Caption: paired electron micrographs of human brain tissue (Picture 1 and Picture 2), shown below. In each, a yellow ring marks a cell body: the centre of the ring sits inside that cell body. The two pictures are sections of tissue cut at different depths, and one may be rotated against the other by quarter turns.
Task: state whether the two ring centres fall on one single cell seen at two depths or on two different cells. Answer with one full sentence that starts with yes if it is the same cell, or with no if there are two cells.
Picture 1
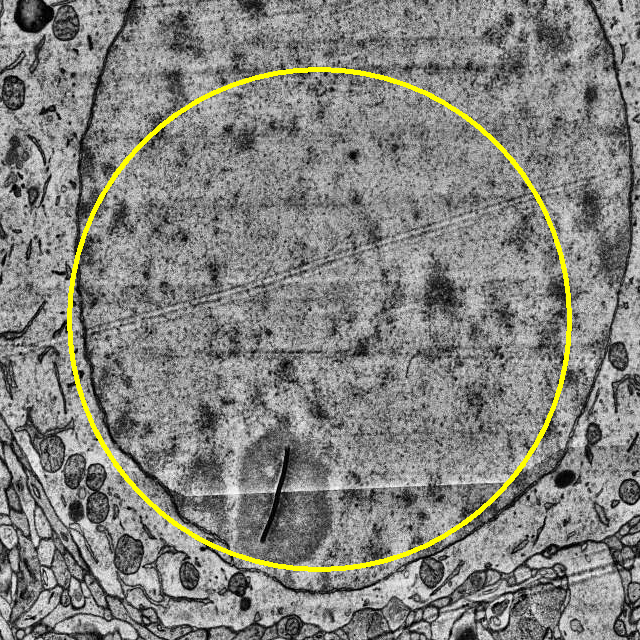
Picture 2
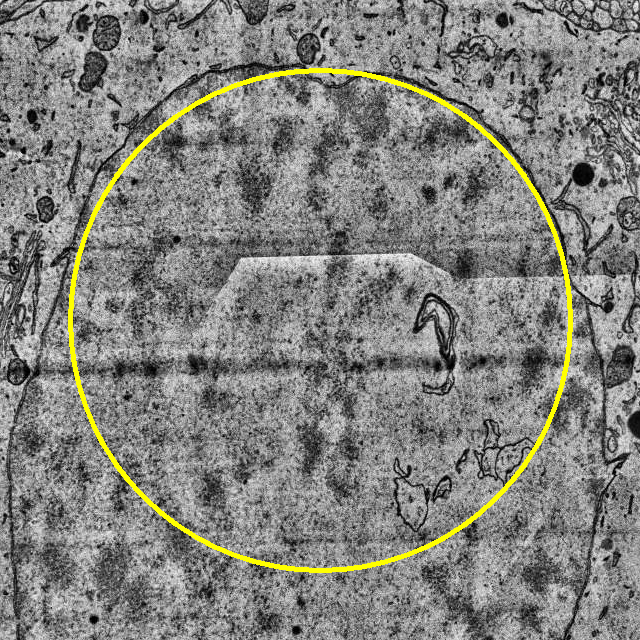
Yes, only one cell is involved, and both rings mark it.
